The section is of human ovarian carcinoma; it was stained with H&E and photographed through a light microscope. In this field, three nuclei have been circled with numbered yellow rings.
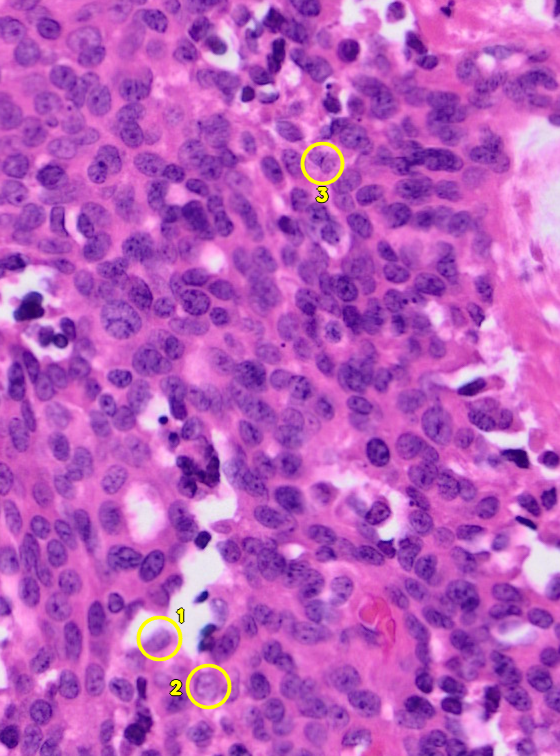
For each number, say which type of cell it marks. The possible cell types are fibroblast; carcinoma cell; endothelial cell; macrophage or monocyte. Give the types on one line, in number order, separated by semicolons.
carcinoma cell; carcinoma cell; macrophage or monocyte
